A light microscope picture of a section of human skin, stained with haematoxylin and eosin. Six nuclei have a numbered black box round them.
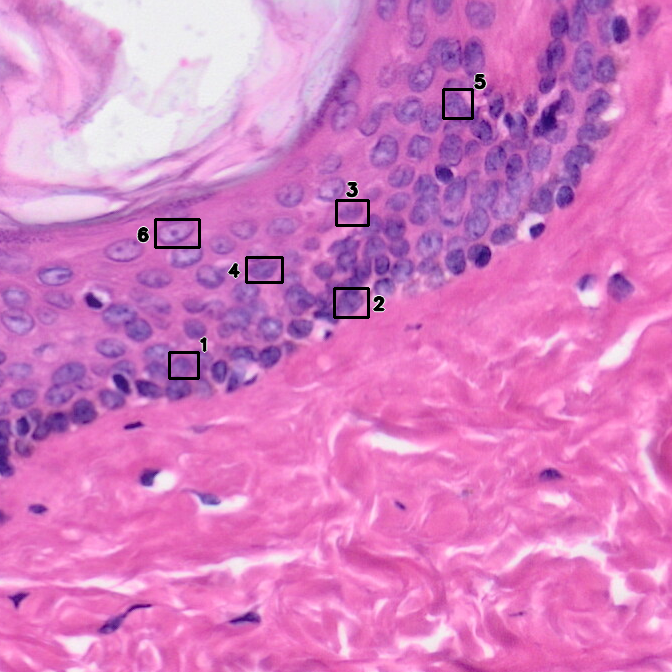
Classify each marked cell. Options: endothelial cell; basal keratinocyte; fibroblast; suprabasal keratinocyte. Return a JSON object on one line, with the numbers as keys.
{"1": "basal keratinocyte", "2": "basal keratinocyte", "3": "basal keratinocyte", "4": "suprabasal keratinocyte", "5": "basal keratinocyte", "6": "suprabasal keratinocyte"}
